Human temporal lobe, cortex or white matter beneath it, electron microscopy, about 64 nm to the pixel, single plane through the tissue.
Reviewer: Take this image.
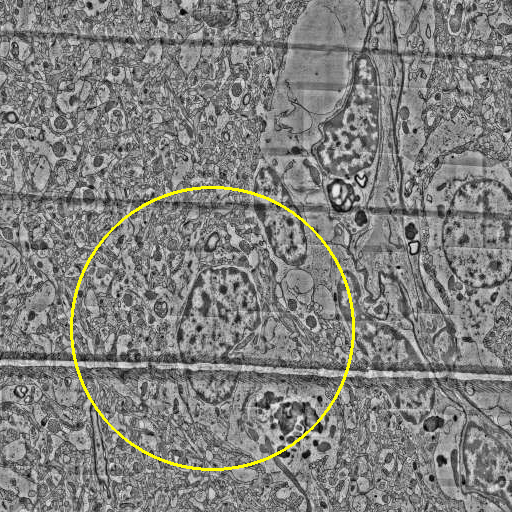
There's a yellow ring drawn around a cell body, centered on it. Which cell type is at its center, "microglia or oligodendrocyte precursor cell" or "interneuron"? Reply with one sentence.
At the center of the yellow ring is a microglial cell or oligodendrocyte precursor cell.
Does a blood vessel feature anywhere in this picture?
Yes, there is one.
